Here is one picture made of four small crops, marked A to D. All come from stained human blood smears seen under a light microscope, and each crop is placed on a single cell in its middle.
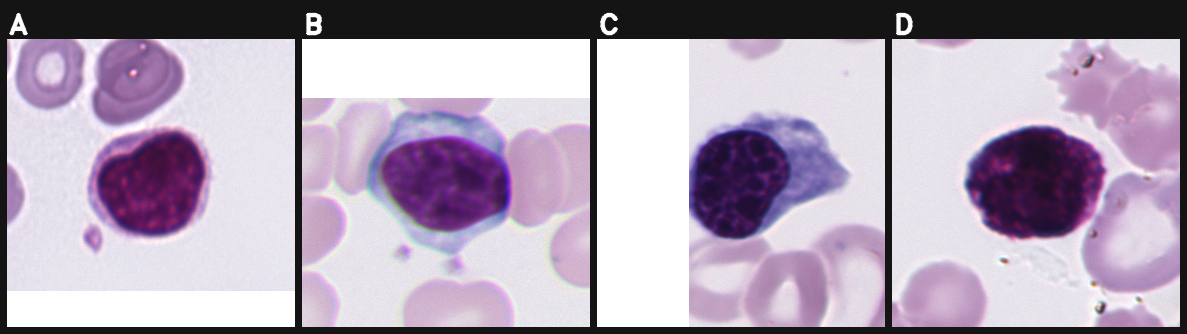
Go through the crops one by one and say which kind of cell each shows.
A: large granular lymphocyte
B: typical lymphocyte
C: normoblast
D: basophil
